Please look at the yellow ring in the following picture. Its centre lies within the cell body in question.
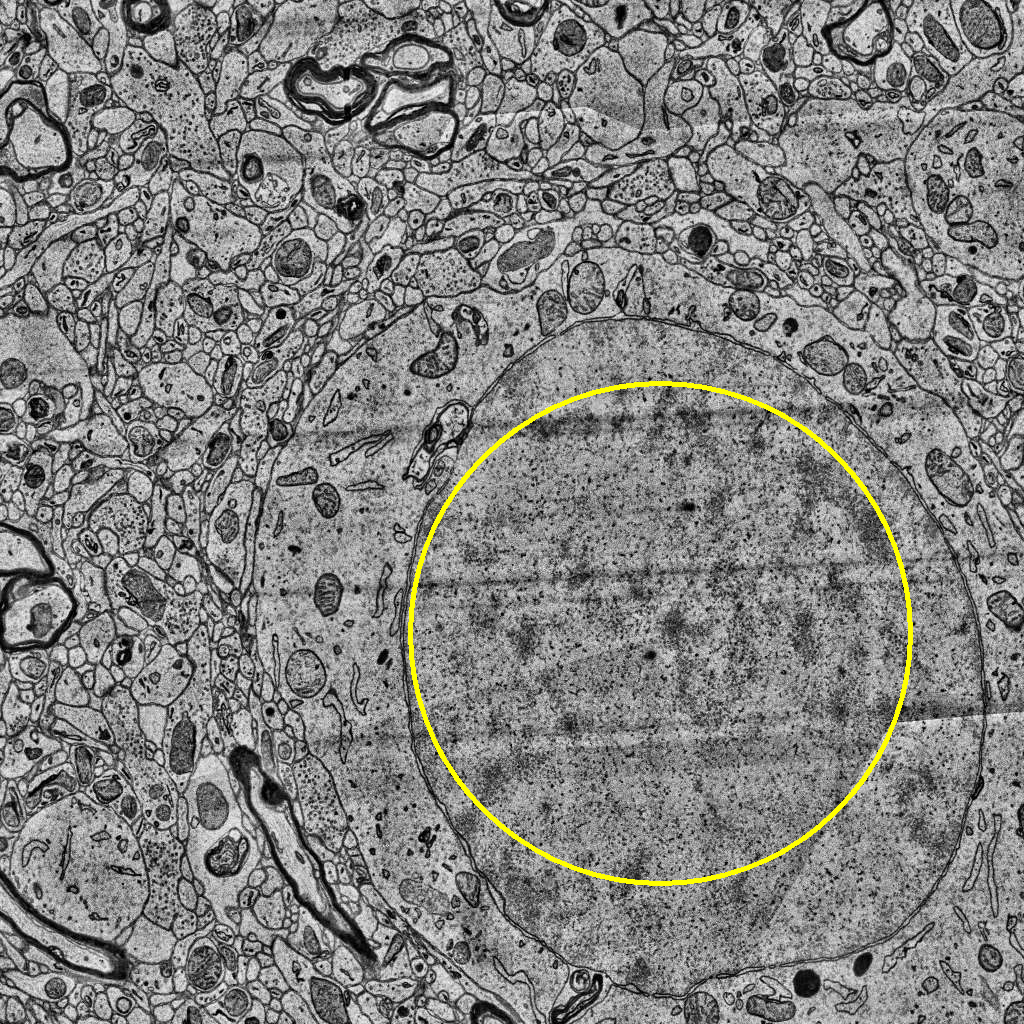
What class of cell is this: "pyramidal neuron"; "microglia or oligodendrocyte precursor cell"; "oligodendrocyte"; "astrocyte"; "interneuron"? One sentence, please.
The centre of the ring lies in the cell body of an interneuron.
